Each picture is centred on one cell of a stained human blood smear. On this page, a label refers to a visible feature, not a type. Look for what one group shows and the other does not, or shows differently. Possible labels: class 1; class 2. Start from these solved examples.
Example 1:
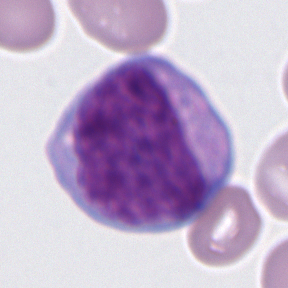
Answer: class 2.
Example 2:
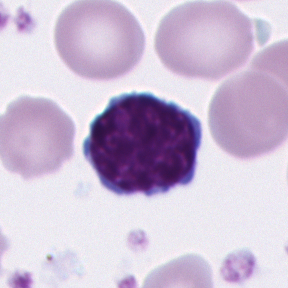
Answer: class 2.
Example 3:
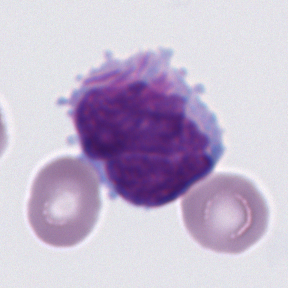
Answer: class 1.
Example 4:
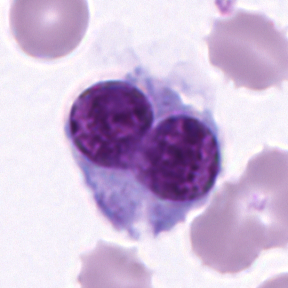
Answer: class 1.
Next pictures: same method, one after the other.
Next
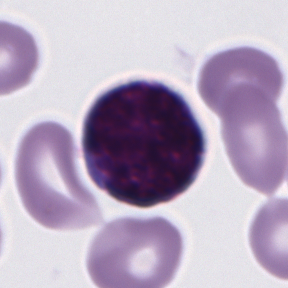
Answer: class 2.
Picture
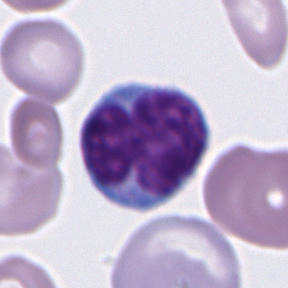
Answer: class 1.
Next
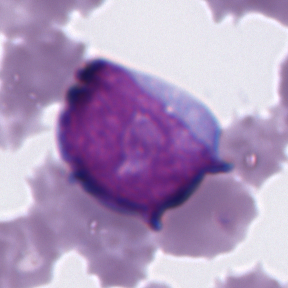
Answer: class 2.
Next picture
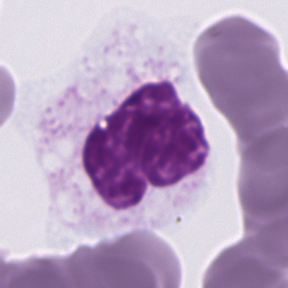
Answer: class 2.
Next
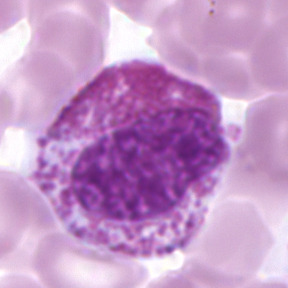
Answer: class 2.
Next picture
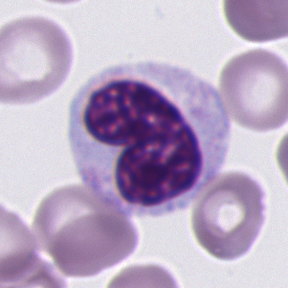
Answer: class 2.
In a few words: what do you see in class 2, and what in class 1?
Seen in class 2: single compact nucleus; seen in class 1: lobed nucleus.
